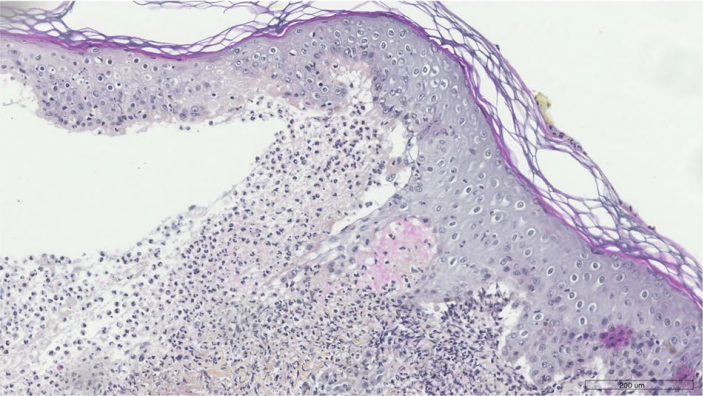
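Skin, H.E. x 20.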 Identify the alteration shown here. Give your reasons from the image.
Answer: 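The epidermis is lifted off the underlying dermis. A space lies between the epidermis and the dermis. Scattered cells lie within this space. On this evidence: Subepidermal detachment.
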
